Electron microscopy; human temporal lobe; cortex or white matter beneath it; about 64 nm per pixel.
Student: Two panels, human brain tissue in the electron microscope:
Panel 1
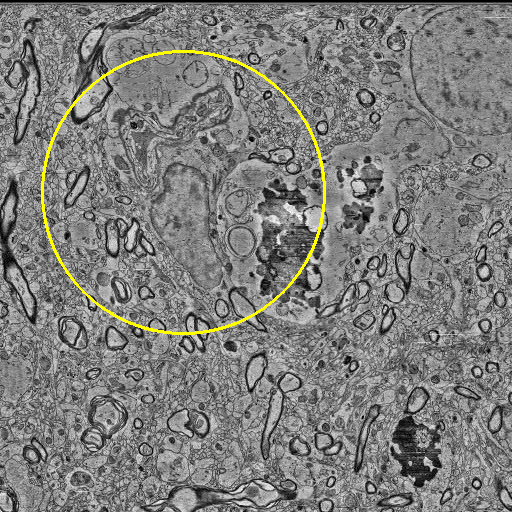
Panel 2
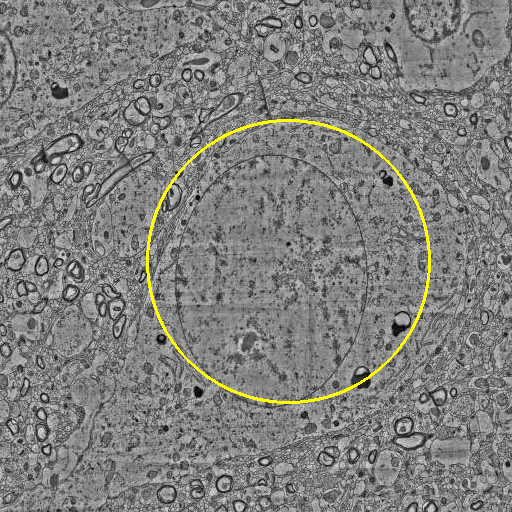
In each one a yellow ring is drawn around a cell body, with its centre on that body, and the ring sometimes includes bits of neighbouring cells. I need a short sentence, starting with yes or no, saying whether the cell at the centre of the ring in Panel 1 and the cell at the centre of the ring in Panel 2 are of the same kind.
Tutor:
No, they are two kinds of cell.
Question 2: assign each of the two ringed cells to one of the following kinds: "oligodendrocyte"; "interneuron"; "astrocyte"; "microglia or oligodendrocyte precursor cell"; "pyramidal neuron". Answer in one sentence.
The two cells are an oligodendrocyte in the first picture and a pyramidal neuron in the second.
